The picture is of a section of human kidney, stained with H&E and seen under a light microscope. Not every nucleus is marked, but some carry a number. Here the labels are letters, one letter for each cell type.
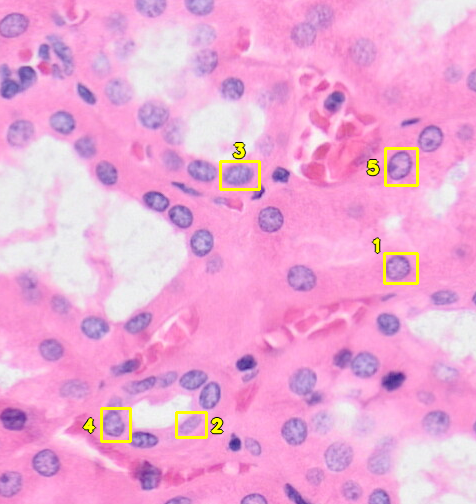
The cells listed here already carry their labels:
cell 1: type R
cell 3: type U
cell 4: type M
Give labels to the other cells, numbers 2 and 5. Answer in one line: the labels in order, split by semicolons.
type M; type R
